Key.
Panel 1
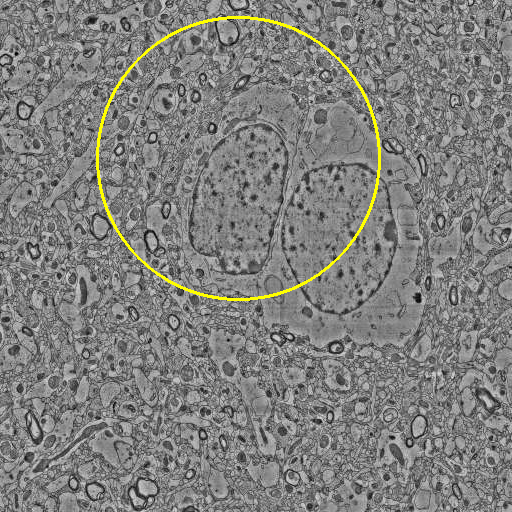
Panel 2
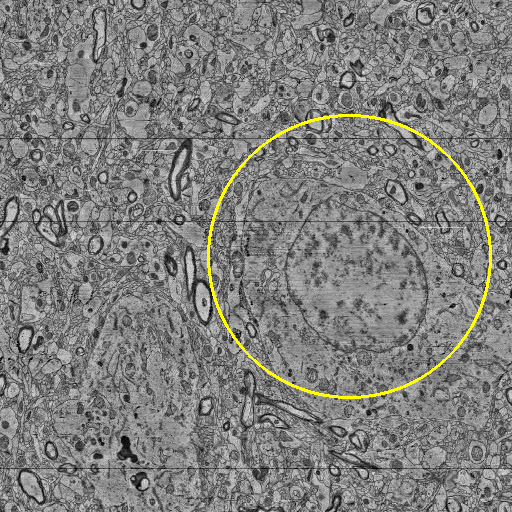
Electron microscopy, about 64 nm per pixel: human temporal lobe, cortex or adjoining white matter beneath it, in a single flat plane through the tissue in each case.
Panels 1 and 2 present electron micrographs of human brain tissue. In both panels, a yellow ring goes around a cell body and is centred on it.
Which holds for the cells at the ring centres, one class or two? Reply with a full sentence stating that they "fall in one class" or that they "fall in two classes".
Taken together, the ring-centre cells of the two panels fall in two classes.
